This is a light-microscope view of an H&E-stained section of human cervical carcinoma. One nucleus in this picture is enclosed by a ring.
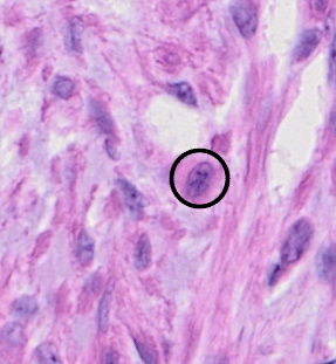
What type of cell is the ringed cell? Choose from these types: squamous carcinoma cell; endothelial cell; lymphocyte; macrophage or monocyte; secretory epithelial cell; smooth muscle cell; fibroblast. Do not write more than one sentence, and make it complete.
The identity of the ringed cell is that of a macrophage or monocyte.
